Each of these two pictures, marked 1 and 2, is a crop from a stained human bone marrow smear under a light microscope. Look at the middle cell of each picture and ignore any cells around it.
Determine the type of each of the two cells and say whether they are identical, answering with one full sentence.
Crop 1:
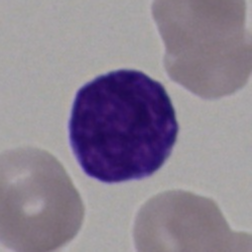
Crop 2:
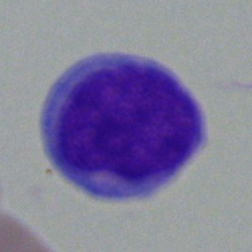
Yes, the cells placed at the centre of both crops are blasts.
